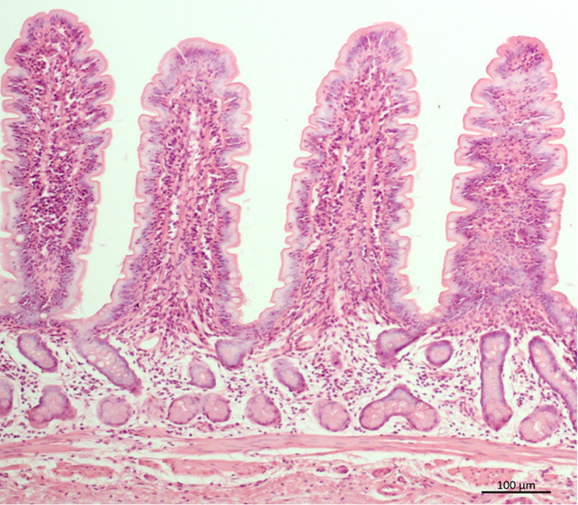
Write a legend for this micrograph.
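This is small intestinal mucosa with tall, finger-like villi, each covered by a continuous single layer of columnar epithelium with a pink brush border and pale goblet cells, around a cellular core of lamina propria. Below the villi, round and elongated crypts sit in the lamina propria above a thin band of pink smooth muscle.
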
